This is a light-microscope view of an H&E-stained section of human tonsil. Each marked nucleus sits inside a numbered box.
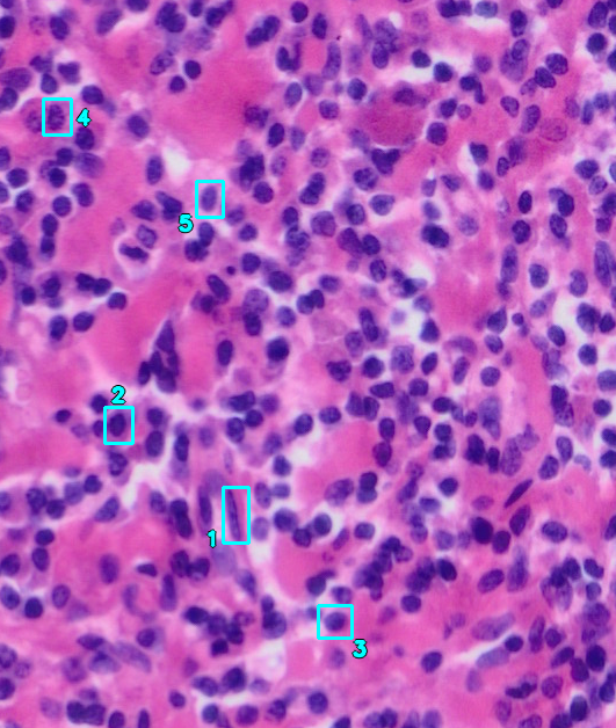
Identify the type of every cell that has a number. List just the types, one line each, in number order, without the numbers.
endothelial cell
plasma cell
mast cell
plasma cell
mast cell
